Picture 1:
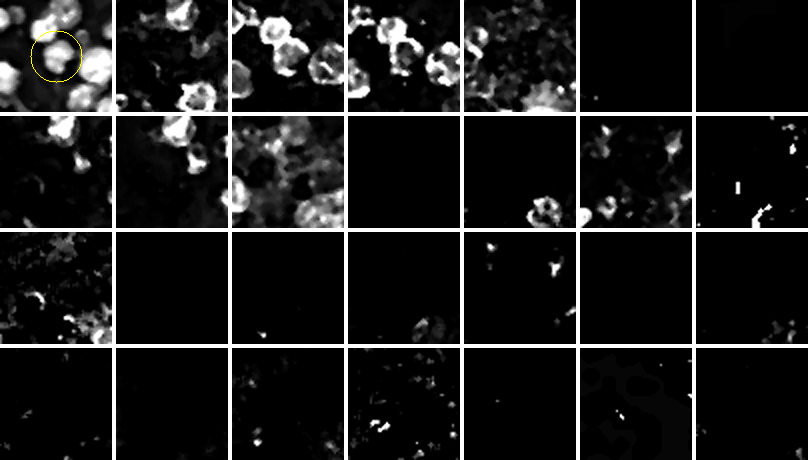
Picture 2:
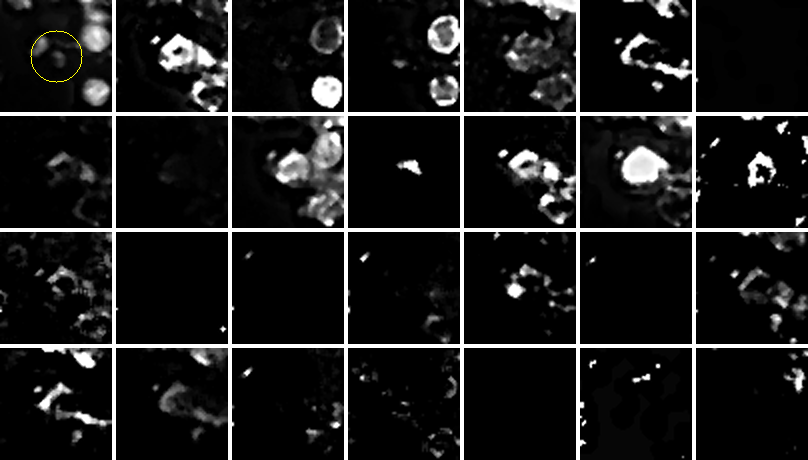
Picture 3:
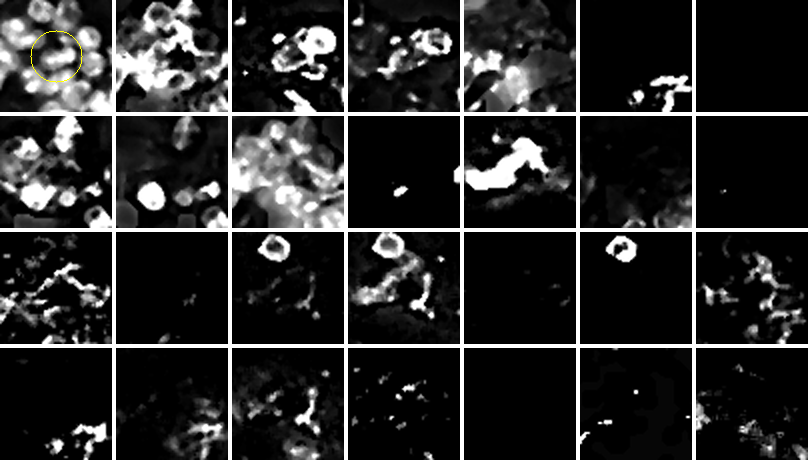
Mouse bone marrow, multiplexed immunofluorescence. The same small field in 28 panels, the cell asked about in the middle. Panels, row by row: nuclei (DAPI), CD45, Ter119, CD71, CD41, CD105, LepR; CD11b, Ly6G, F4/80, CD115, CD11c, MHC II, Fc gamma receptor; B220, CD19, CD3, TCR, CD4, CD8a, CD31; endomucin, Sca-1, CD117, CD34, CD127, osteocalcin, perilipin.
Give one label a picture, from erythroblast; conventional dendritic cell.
1: erythroblast
2: conventional dendritic cell
3: erythroblast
